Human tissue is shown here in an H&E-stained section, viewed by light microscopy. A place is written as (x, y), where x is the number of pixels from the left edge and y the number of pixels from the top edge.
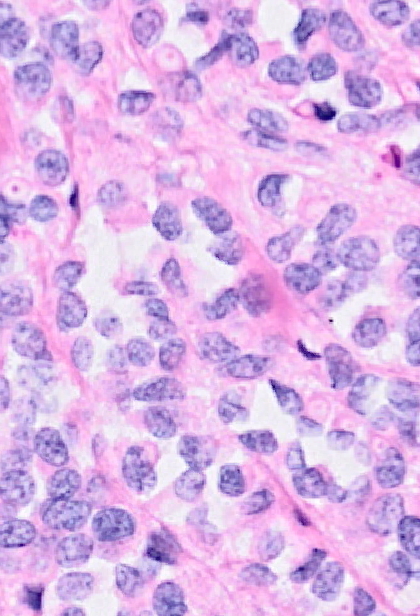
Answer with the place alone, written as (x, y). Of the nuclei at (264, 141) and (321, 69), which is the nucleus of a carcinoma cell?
(321, 69)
